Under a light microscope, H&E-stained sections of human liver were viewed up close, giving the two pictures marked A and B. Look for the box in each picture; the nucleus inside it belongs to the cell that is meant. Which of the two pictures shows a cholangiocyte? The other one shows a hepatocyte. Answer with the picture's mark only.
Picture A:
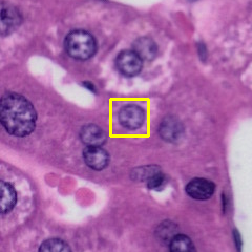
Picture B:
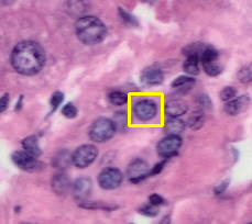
B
